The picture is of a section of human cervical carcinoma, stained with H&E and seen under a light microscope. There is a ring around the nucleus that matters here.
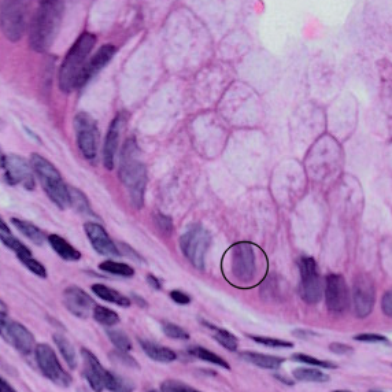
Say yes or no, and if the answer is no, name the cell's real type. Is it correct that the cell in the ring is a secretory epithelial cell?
Yes.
